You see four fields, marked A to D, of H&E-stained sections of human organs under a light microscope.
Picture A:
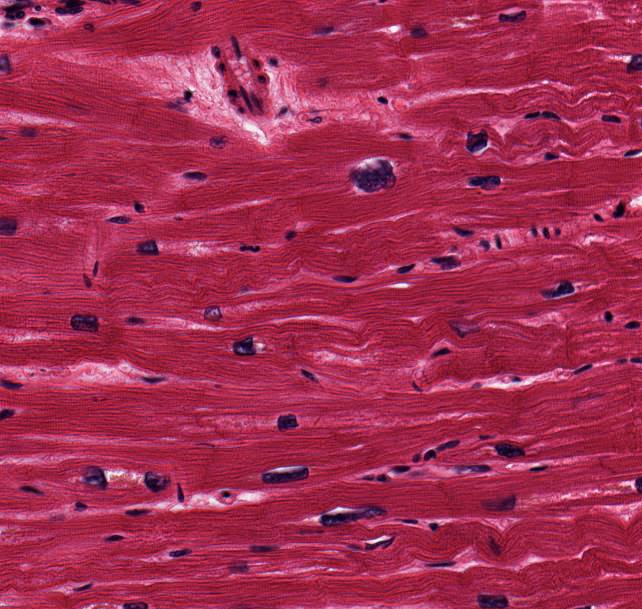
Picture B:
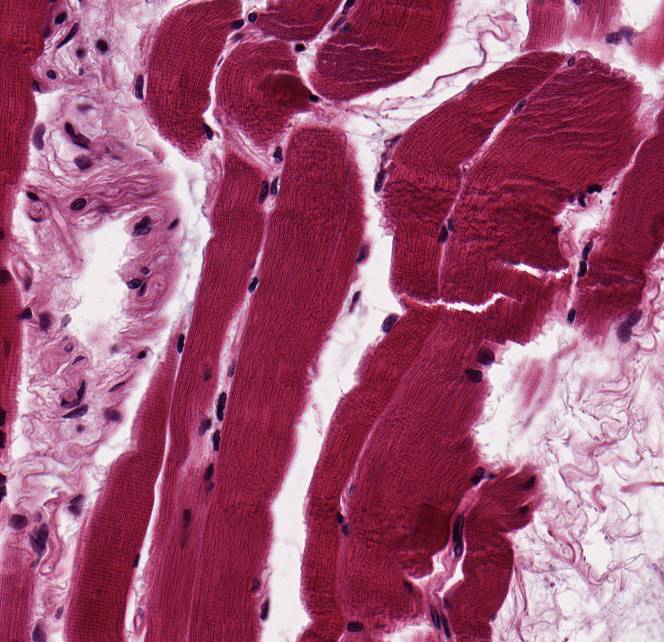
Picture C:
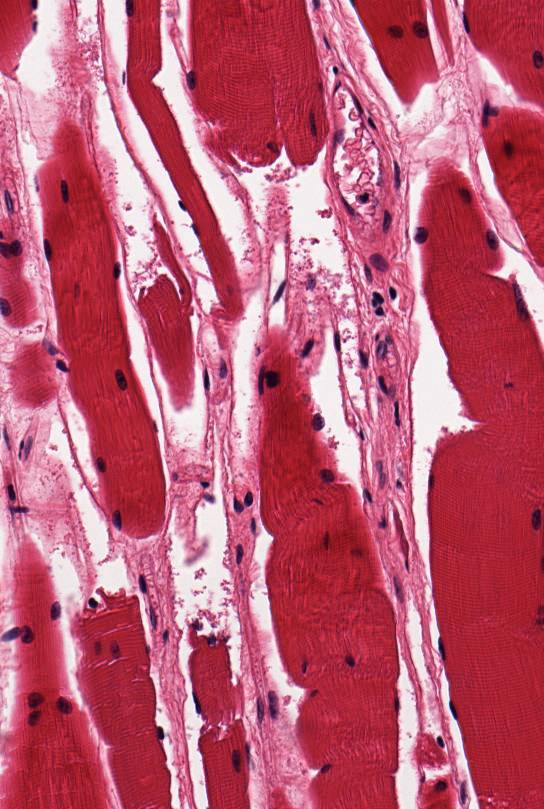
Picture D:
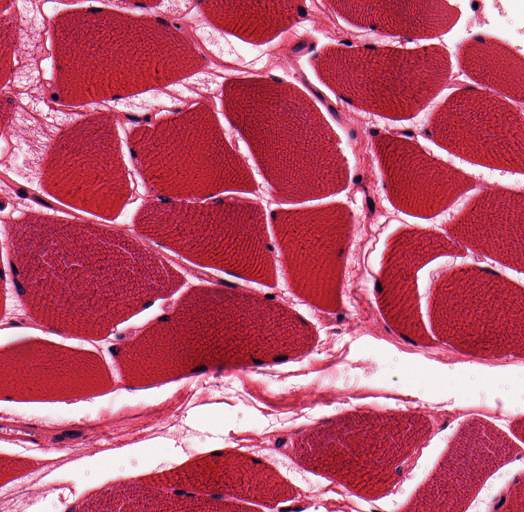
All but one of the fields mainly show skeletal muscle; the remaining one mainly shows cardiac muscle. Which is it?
A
